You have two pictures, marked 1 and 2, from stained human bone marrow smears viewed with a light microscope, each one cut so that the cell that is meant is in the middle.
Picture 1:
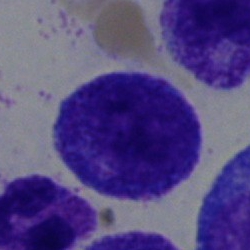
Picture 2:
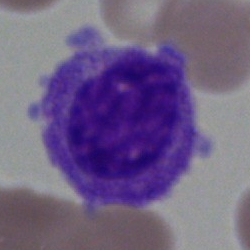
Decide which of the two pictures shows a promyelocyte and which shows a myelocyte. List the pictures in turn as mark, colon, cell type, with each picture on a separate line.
1: promyelocyte
2: myelocyte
